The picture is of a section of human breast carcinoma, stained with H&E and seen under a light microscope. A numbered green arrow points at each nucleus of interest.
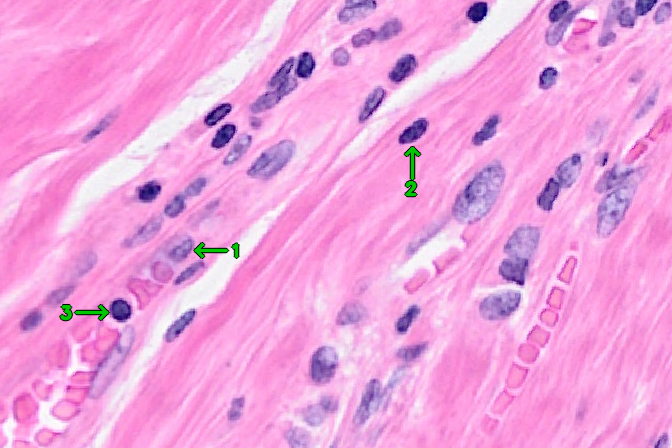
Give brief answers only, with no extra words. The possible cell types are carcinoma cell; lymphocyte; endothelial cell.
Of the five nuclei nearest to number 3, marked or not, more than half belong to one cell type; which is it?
endothelial cell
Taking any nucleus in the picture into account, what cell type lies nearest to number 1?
endothelial cell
